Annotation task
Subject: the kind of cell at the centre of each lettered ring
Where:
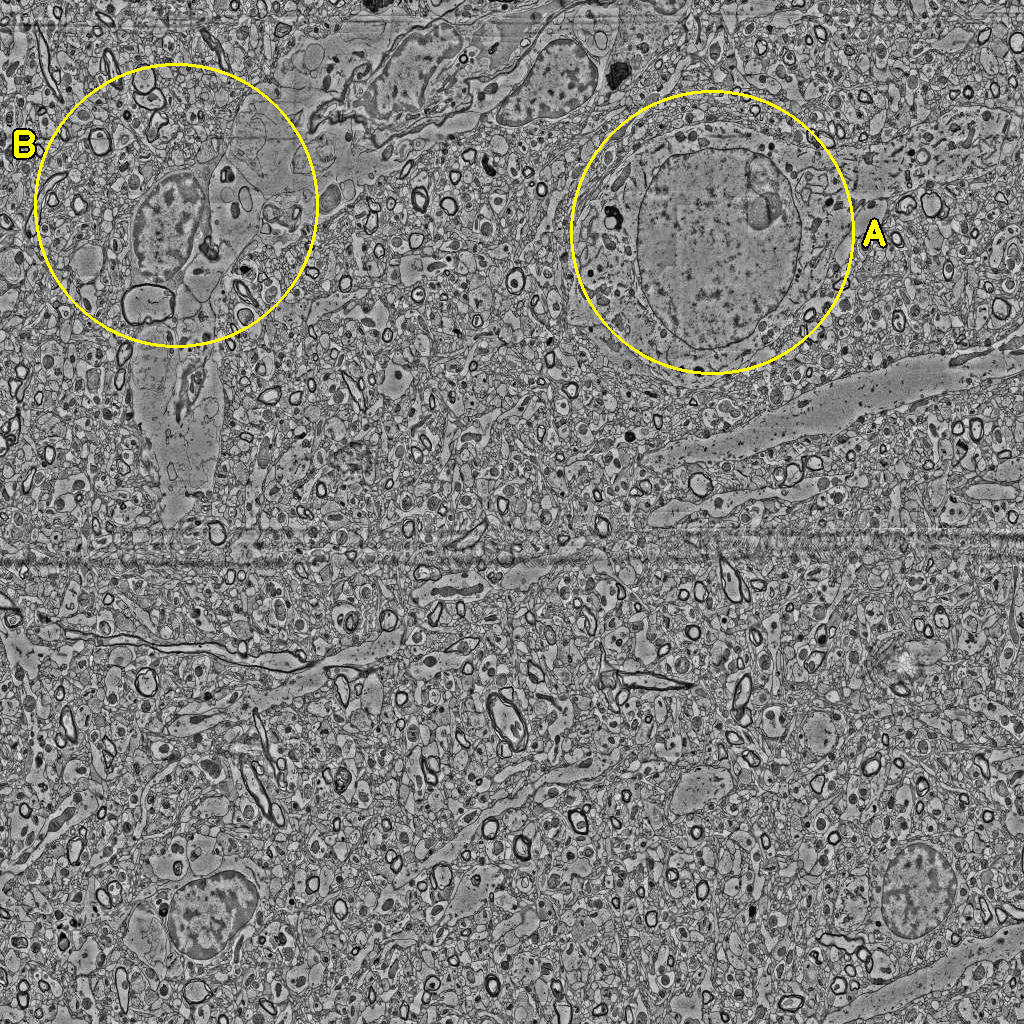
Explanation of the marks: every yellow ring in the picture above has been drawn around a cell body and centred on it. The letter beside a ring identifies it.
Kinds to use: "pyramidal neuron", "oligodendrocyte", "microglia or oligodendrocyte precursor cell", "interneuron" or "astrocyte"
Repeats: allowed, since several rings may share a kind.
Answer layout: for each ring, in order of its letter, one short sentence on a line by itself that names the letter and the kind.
The ring lettered A is drawn around a pyramidal neuron.
The ring lettered B is drawn around an oligodendrocyte.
